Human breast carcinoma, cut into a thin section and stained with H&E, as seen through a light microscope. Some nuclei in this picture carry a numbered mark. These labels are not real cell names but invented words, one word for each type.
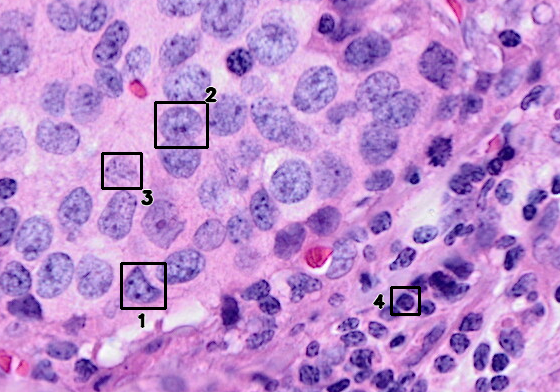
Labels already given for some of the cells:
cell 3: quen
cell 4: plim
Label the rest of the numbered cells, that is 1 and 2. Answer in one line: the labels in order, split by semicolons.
quen; quen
